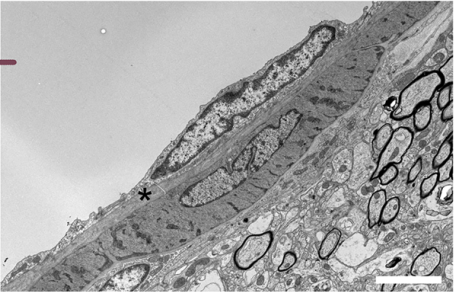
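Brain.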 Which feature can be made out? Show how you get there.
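A vessel. A large, pale, featureless space fills the upper left. This space is lined by a thin, flattened cell with an elongated nucleus.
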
